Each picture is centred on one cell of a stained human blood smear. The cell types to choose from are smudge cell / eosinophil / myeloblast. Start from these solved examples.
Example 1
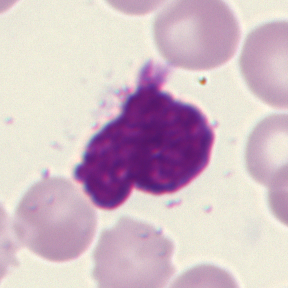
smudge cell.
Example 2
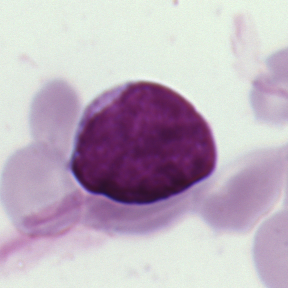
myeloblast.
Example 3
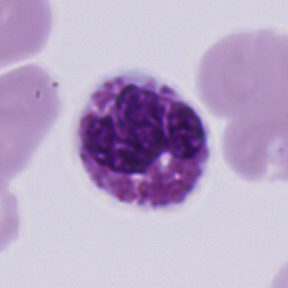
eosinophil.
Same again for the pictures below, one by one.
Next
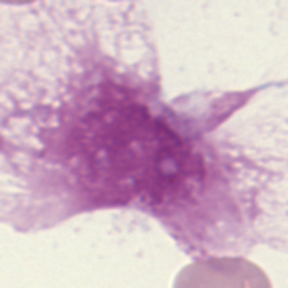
smudge cell.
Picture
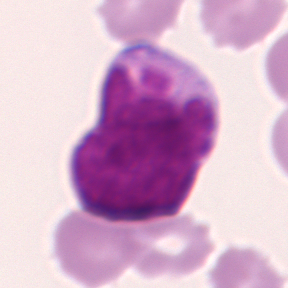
myeloblast.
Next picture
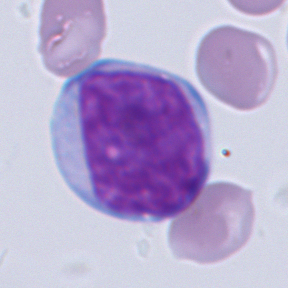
myeloblast.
